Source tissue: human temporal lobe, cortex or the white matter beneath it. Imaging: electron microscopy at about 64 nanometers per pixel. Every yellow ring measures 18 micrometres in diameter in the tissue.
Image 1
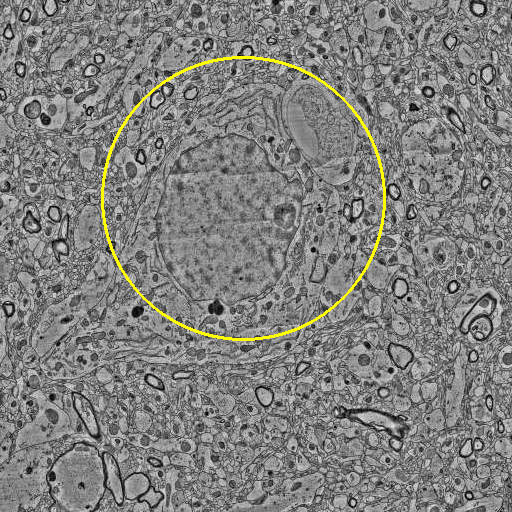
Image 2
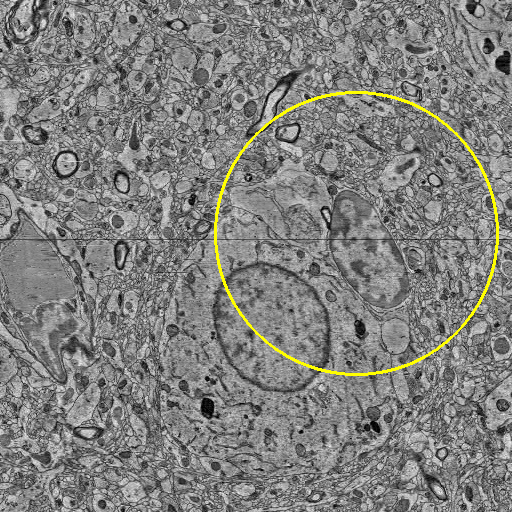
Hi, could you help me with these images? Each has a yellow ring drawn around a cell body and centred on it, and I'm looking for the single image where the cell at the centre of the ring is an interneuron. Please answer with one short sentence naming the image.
It is Image 1 that has it at the centre of its ring.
